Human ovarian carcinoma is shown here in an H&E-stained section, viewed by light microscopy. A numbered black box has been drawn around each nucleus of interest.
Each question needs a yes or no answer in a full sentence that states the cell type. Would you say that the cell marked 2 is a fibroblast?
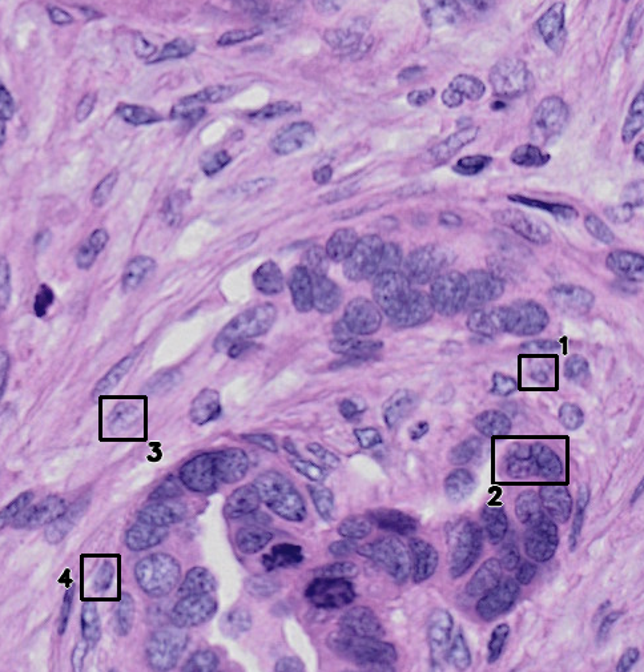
No, the identification of cell 2 as a fibroblast is incorrect; it is a carcinoma cell.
